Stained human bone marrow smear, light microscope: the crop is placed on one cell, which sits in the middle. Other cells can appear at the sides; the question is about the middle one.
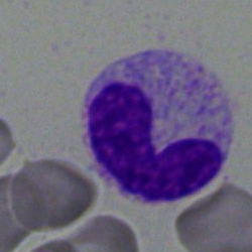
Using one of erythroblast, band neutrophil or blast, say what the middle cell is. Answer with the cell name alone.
band neutrophil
